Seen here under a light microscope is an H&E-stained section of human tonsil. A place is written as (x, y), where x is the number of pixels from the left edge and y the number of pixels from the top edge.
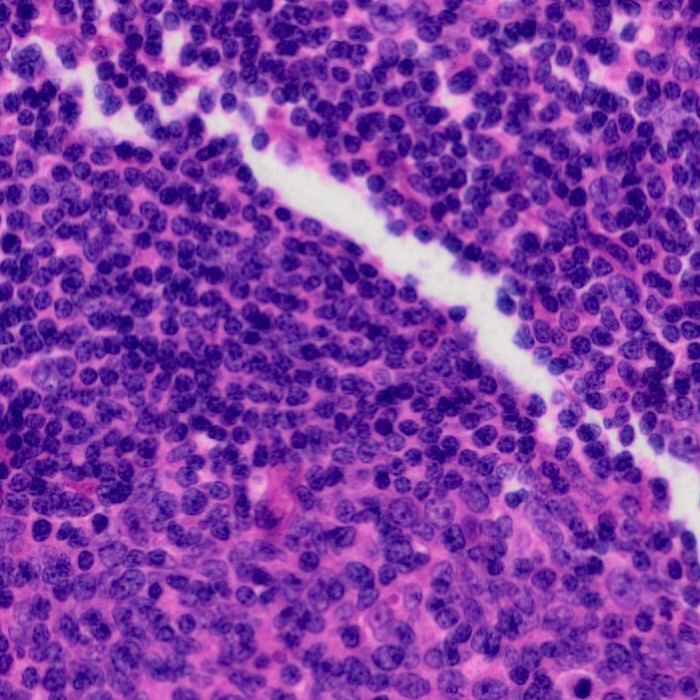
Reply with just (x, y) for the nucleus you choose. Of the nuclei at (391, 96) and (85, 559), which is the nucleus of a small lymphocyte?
(391, 96)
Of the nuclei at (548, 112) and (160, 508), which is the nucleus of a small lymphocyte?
(548, 112)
